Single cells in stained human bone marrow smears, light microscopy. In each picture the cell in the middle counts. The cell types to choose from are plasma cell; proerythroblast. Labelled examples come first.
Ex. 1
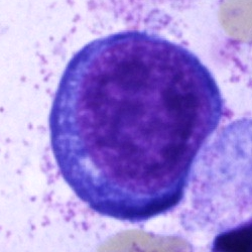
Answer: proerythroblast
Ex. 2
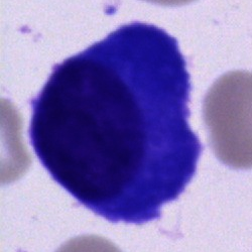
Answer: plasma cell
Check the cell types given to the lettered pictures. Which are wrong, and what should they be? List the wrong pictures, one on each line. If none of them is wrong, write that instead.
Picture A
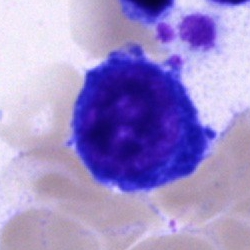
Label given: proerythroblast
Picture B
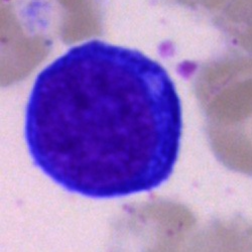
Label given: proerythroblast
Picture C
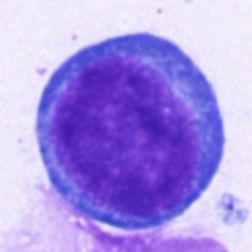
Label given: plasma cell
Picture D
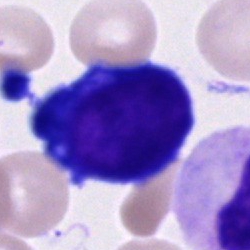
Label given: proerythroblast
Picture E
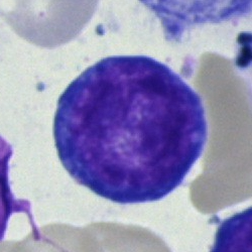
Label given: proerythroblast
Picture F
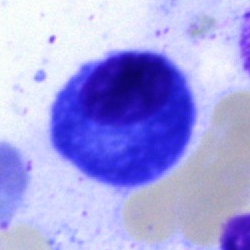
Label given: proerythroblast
C: not plasma cell but proerythroblast
F: not proerythroblast but plasma cell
